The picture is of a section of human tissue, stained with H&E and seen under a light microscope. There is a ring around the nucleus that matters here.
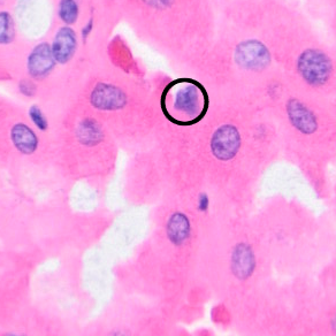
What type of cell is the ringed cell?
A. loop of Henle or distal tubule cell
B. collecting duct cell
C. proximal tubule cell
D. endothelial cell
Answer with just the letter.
D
